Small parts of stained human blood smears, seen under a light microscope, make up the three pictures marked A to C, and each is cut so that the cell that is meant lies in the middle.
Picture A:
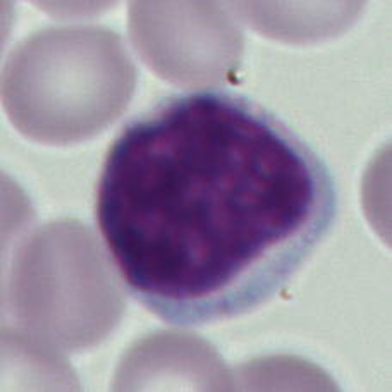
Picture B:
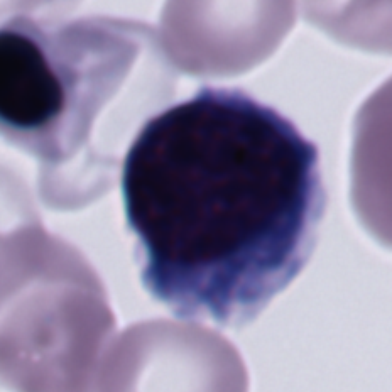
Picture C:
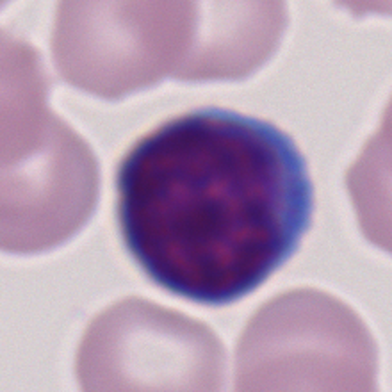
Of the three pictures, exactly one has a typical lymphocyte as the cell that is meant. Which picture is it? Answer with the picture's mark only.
C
